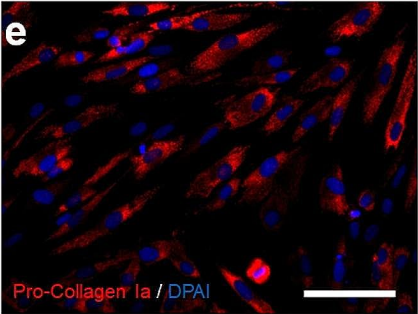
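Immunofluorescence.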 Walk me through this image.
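The cells are elongated and spindle-shaped, lying side by side in a loosely aligned sheet. The red stain is spread through the cytoplasm and is densest around the nucleus, fading toward the tapering ends of each cell. The nuclei are oval and single, sitting in the broad central part of each cell. One small rounded cell near the bottom is stained far more brightly than its flattened neighbours.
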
